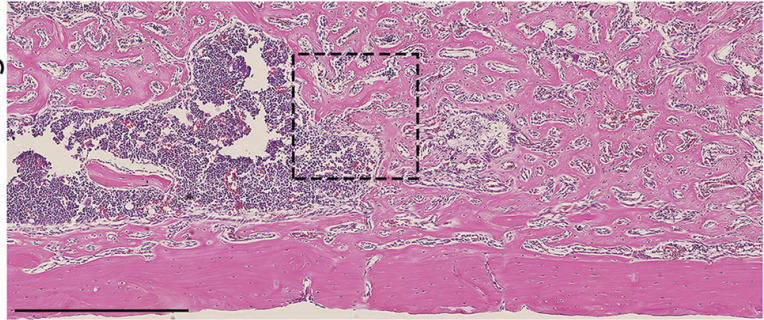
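On the left a large patch of tightly packed small purple round cells, with scattered red blood cells, occupies the space between the bony struts. Elsewhere pink branching trabeculae with embedded cells in lacunae alternate with looser spaces of spindle-shaped cells.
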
